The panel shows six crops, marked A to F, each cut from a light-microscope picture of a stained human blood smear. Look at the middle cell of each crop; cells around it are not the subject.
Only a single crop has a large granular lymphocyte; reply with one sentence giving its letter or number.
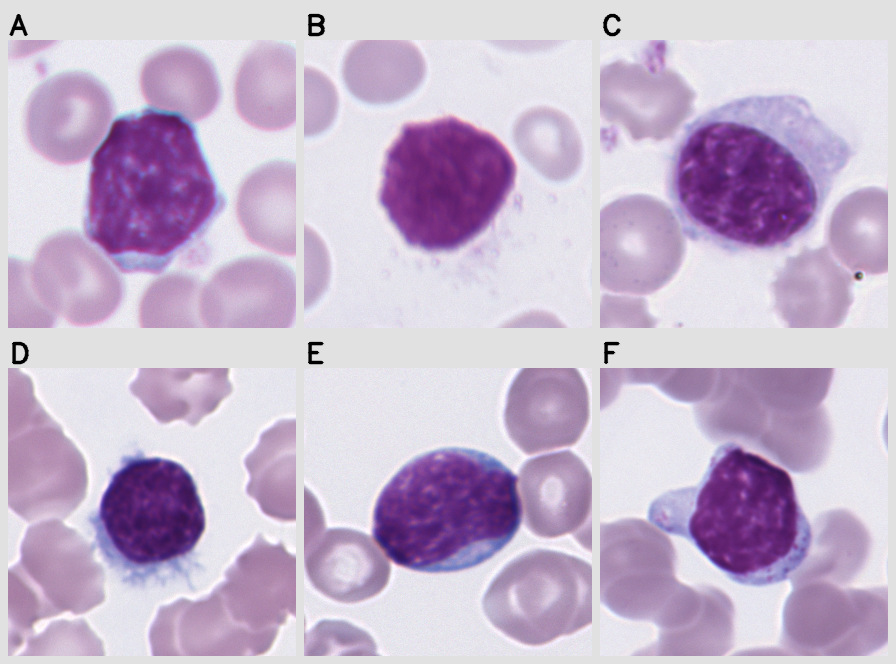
The one crop that shows a large granular lymphocyte is crop F.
